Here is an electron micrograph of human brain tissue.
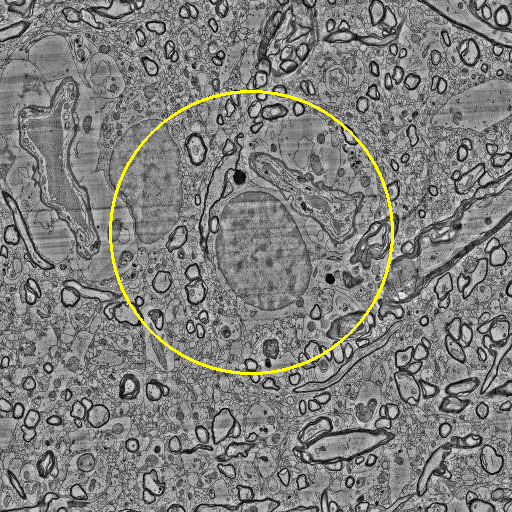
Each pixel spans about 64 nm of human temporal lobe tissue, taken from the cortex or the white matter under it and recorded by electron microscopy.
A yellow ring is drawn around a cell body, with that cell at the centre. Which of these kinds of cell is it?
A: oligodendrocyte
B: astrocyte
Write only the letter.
A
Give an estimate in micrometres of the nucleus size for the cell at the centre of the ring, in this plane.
About 8 by 6 micrometres in this plane.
